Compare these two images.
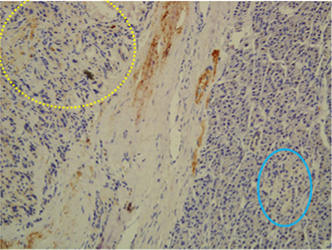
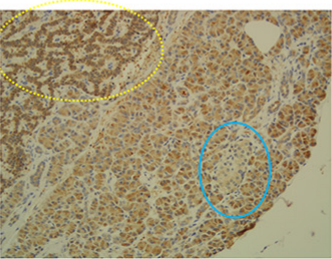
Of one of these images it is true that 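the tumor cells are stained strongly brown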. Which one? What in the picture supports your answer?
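Second image: the cells within the dashed circle have dense dark brown cytoplasm. First image: the cells within the dashed circle are mostly blue with only faint brown. On this evidence: the second image.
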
